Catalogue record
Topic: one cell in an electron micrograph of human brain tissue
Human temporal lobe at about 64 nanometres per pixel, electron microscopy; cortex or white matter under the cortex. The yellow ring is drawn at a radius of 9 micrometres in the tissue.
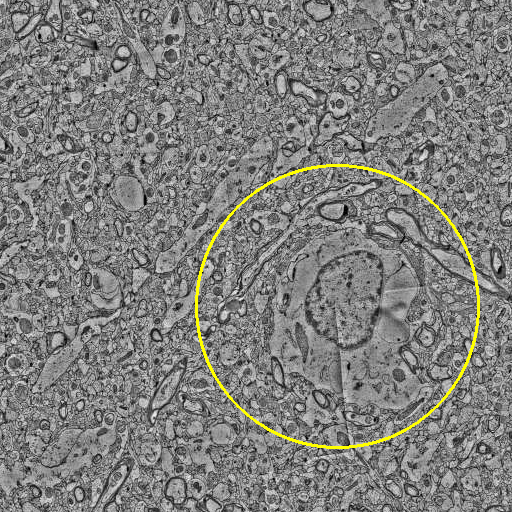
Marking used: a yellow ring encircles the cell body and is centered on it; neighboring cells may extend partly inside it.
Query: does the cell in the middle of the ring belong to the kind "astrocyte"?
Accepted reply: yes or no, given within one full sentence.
Yes, the cell centered in the ring in the picture is of that kind.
